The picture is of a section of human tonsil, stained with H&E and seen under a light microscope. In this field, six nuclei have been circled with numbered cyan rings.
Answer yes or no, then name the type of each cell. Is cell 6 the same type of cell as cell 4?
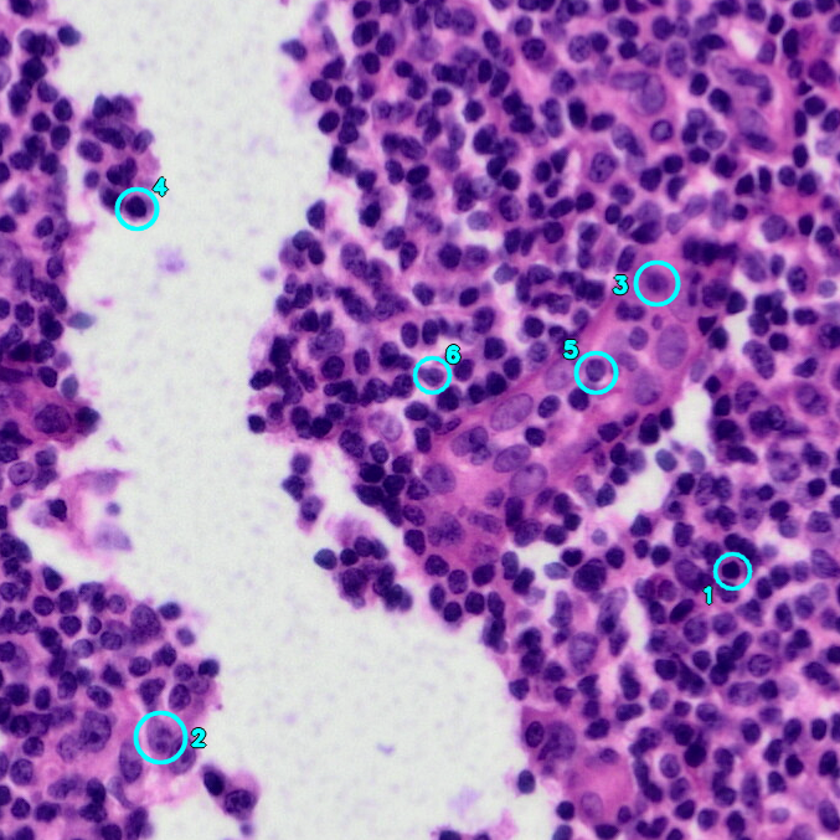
Yes, the cells bearing numbers 6 and 4 are both small lymphocytes.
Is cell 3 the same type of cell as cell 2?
No, cell 3 is an endothelial cell and cell 2 is a proliferating B cell.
